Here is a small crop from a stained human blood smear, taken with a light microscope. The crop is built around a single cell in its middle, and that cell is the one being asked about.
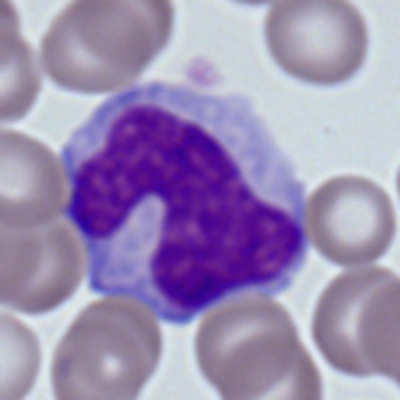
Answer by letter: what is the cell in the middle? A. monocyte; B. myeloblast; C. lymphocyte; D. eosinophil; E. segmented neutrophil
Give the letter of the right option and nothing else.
A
